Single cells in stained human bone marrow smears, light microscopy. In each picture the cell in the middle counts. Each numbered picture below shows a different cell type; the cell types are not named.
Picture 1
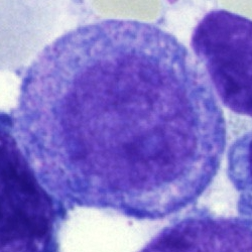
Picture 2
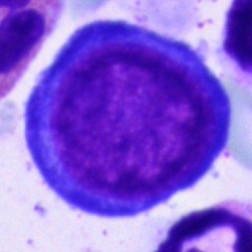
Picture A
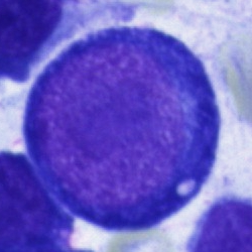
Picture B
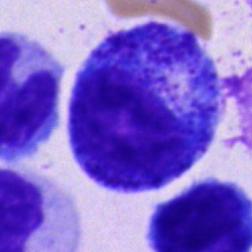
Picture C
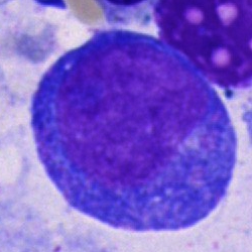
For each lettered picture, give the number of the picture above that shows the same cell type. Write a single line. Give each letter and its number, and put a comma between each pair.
A 2, B 1, C 1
